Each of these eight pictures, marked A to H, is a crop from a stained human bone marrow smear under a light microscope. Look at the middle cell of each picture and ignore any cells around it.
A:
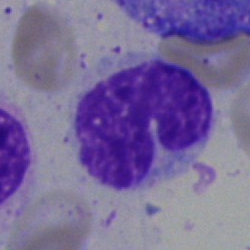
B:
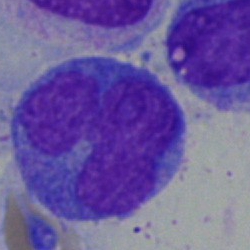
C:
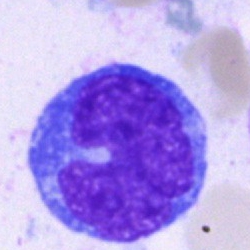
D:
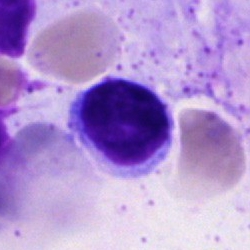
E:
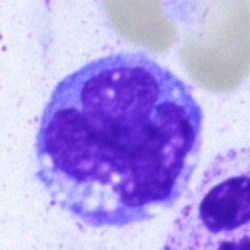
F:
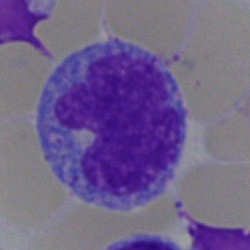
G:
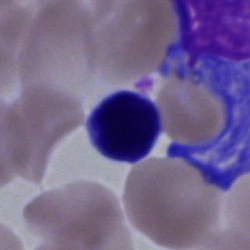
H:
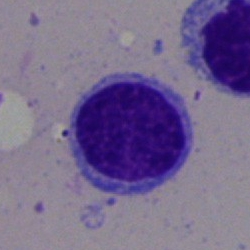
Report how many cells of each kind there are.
monocyte: 5
lymphocyte: 3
